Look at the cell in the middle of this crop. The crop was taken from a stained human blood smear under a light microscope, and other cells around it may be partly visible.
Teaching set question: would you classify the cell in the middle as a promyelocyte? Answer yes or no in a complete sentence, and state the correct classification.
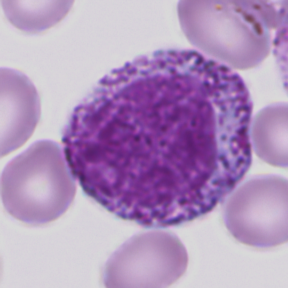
No, the central cell is properly termed a myelocyte, not a promyelocyte.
